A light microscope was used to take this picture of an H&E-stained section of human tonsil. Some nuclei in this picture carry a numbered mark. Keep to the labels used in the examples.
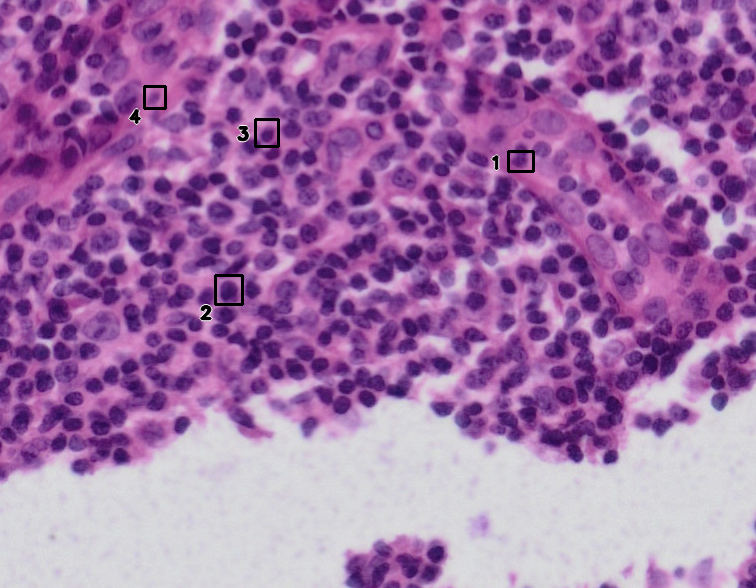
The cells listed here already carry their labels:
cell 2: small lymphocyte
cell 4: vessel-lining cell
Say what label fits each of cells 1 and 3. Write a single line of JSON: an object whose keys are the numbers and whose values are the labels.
{"1": "vessel-lining cell", "3": "small lymphocyte"}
